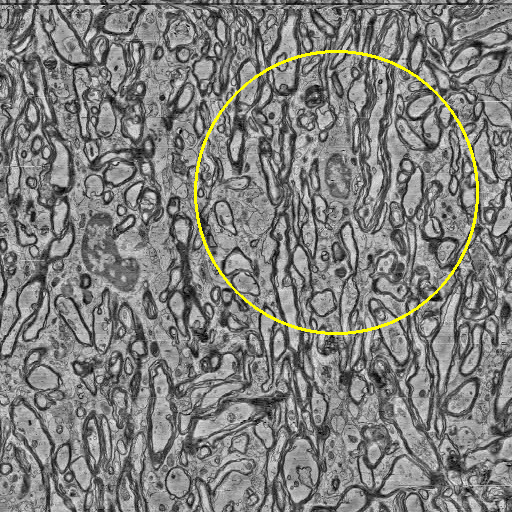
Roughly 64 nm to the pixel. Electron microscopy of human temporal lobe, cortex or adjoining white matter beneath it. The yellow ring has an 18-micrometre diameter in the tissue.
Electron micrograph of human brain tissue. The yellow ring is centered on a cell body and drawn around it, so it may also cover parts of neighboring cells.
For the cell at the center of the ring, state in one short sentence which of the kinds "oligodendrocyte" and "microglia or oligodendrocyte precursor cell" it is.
This ring is centered on an oligodendrocyte.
